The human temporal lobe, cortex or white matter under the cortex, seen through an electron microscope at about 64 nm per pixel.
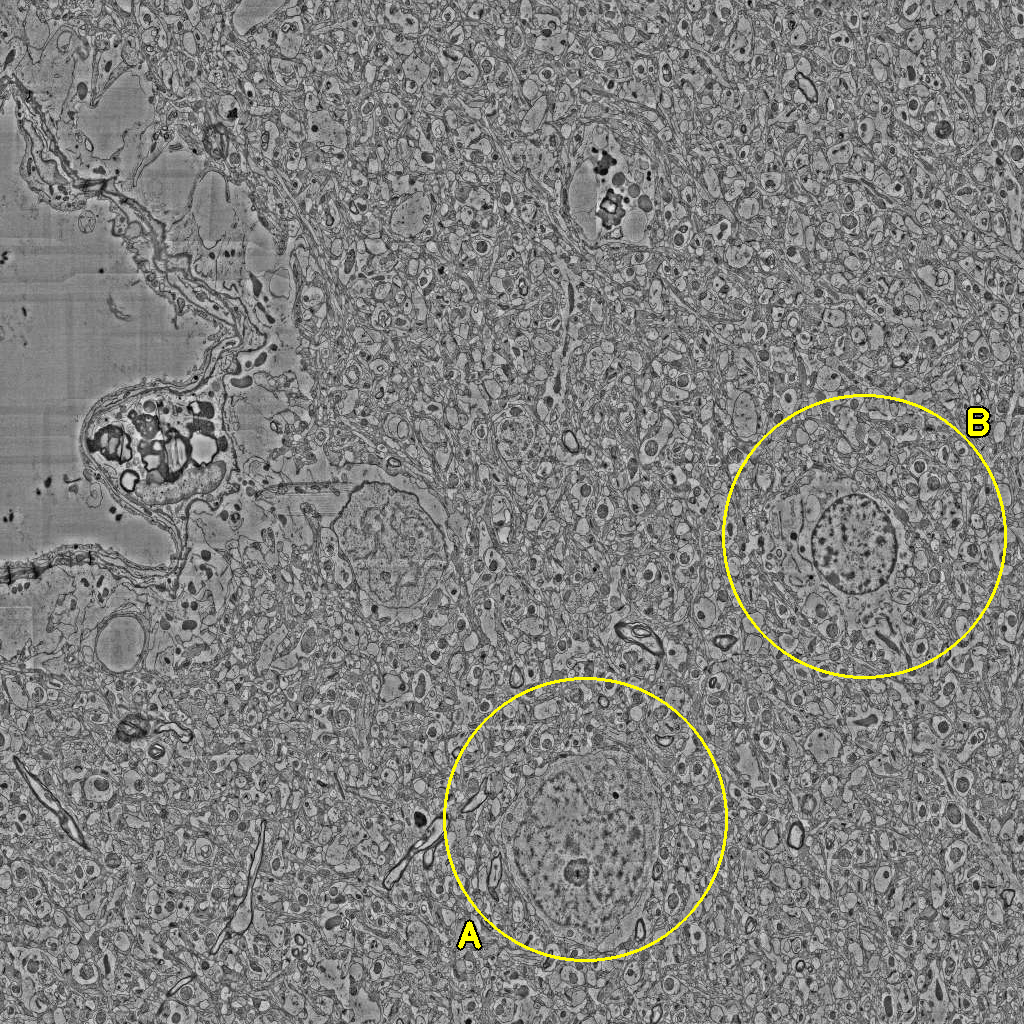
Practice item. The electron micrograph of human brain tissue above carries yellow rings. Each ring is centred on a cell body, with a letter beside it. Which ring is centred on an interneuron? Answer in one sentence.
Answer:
Ring A is centred on it.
